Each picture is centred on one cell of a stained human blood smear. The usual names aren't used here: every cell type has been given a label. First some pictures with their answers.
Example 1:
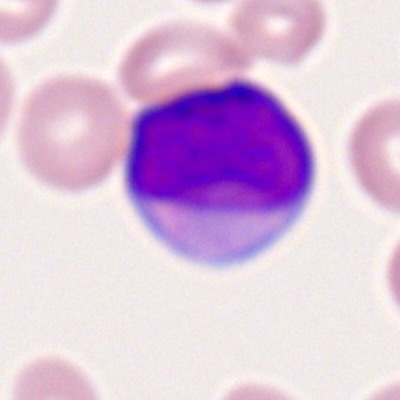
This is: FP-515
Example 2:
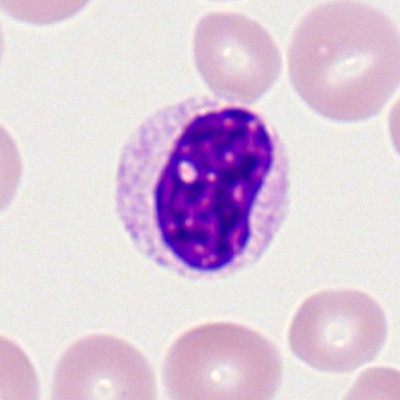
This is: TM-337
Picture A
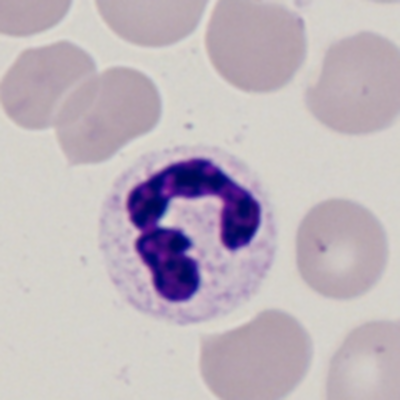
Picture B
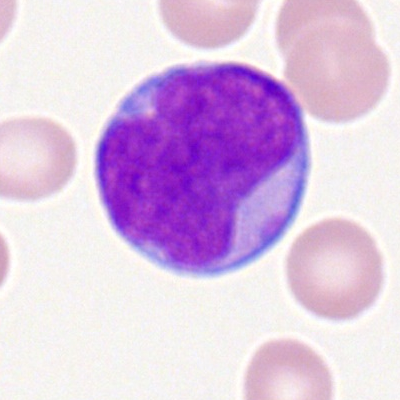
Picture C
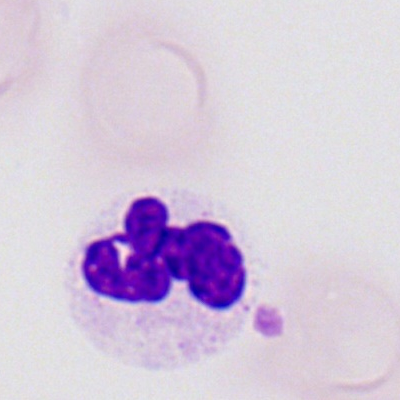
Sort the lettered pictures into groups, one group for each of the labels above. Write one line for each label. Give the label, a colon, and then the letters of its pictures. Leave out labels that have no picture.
FP-515: B
TM-337: A, C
